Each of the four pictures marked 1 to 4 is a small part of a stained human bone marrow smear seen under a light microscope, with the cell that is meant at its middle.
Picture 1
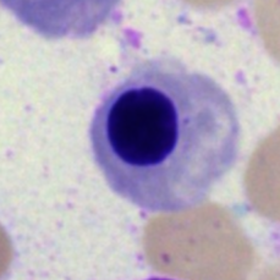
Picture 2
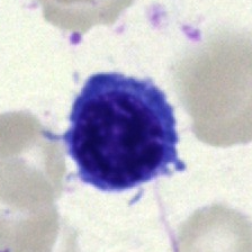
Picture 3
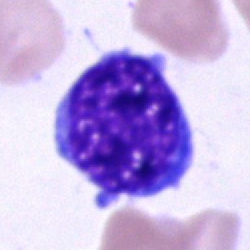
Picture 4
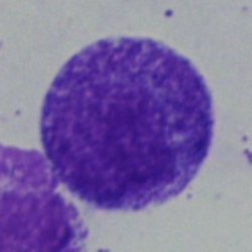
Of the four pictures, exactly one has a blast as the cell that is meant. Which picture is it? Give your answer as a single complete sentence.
The blast is the one in picture 3.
